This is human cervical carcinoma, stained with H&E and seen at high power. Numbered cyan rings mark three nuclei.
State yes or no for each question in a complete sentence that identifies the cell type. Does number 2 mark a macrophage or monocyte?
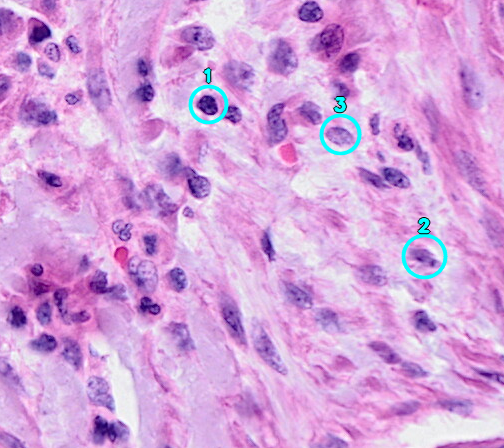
No, cell number 2 is identified as a fibroblast, not as a macrophage or monocyte.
